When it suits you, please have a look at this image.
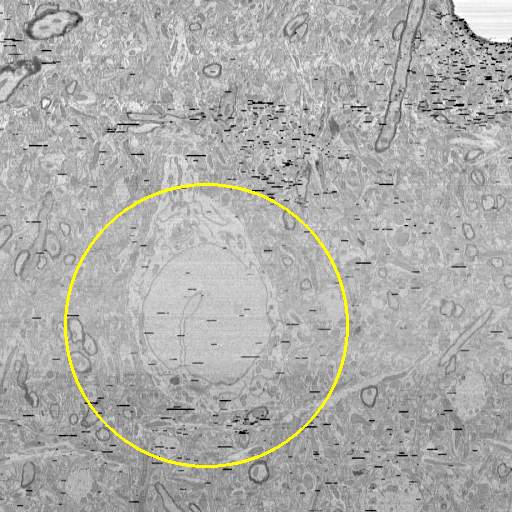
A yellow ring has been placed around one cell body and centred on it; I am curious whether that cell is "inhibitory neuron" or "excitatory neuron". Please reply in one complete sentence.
The ringed cell, an inhibitory neuron, has its body at the centre of the yellow ring.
